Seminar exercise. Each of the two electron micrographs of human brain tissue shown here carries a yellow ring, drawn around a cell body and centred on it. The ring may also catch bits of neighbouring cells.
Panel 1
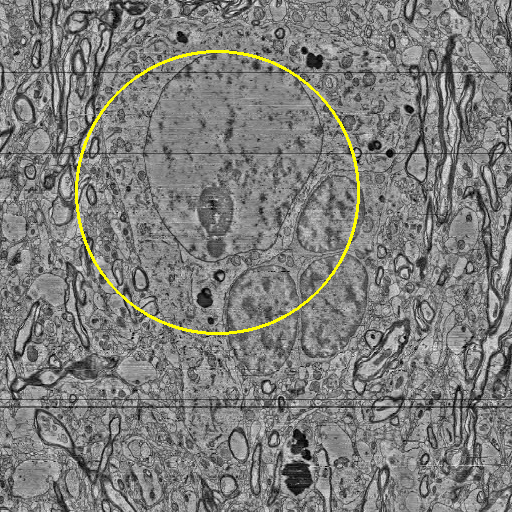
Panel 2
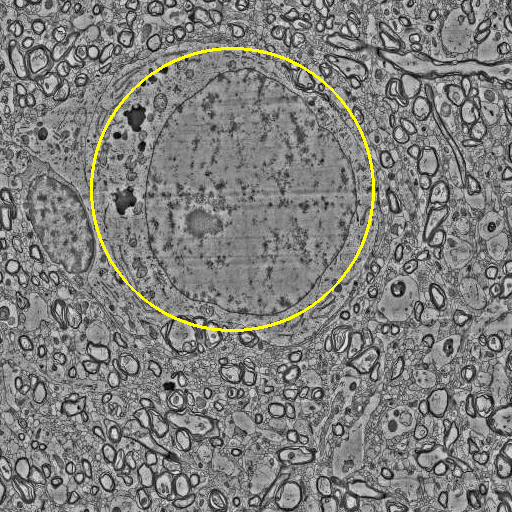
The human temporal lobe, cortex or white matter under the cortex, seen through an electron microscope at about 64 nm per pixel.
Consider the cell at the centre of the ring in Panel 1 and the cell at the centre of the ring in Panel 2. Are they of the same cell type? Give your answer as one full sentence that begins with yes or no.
Yes, both cells are of the same type.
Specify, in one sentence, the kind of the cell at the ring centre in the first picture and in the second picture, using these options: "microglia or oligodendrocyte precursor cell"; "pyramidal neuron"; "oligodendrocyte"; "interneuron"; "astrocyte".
In each of the two pictures, the ringed cell is a pyramidal neuron.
